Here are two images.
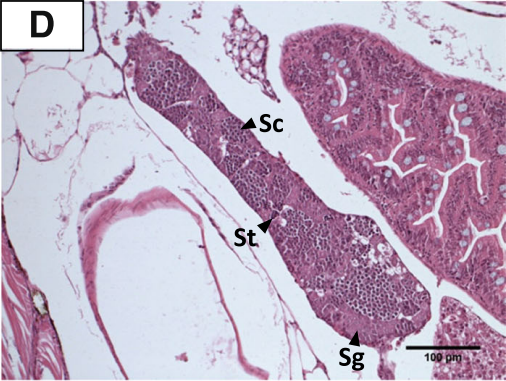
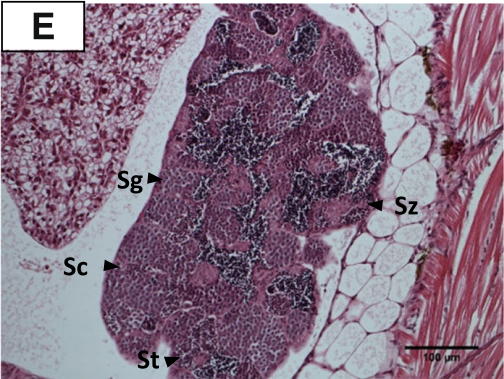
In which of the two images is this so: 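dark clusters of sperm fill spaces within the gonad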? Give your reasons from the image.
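Second image: large dark purple masses of tiny dense nuclei lie throughout the gonad. First image: the gonad holds small germ cells evenly, without such dark masses. So: the second image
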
